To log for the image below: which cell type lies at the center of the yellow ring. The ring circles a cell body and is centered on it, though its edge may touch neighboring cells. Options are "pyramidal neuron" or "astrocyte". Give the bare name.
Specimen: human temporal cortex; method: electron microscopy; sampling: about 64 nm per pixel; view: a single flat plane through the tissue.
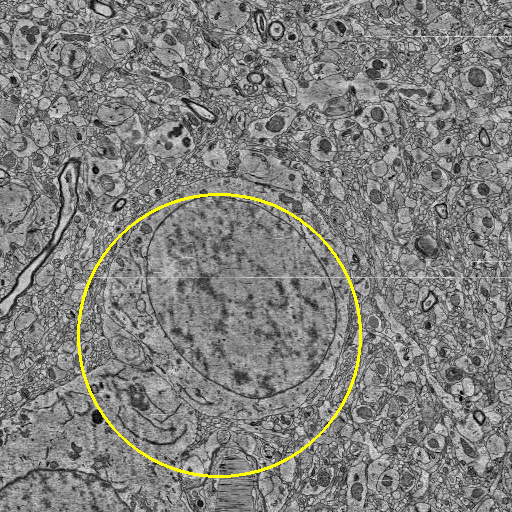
pyramidal neuron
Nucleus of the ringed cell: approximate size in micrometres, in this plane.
In this plane the nucleus spans approximately 14 by 11 micrometers.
